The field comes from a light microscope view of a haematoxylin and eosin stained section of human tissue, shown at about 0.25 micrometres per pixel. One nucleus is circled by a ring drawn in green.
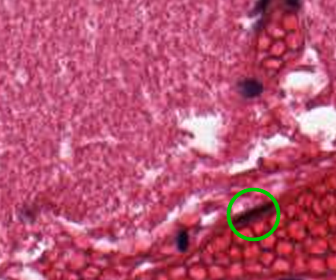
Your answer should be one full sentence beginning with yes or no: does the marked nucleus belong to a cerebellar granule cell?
No, the marked nucleus is found in a supporting cell instead of in a cerebellar granule cell.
